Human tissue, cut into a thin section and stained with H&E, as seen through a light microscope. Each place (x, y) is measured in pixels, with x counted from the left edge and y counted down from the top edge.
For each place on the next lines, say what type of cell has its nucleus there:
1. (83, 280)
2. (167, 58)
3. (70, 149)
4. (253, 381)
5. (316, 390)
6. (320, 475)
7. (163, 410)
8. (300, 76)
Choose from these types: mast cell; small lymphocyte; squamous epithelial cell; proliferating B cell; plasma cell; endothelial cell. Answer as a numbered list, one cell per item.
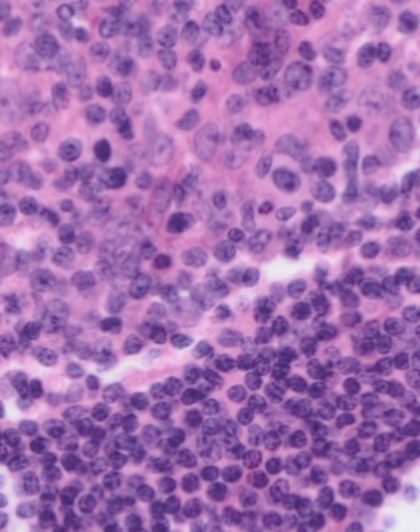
1. proliferating B cell
2. proliferating B cell
3. proliferating B cell
4. small lymphocyte
5. small lymphocyte
6. small lymphocyte
7. small lymphocyte
8. proliferating B cell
